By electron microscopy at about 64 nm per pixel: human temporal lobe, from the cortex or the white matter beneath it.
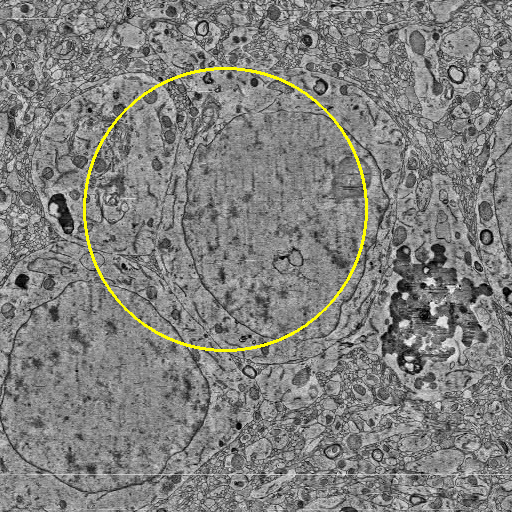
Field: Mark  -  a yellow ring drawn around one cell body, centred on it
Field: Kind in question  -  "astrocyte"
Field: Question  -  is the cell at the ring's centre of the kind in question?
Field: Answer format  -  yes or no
no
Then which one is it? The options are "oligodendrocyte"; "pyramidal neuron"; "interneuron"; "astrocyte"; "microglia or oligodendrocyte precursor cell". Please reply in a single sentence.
The cell in the ring is a pyramidal neuron instead.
